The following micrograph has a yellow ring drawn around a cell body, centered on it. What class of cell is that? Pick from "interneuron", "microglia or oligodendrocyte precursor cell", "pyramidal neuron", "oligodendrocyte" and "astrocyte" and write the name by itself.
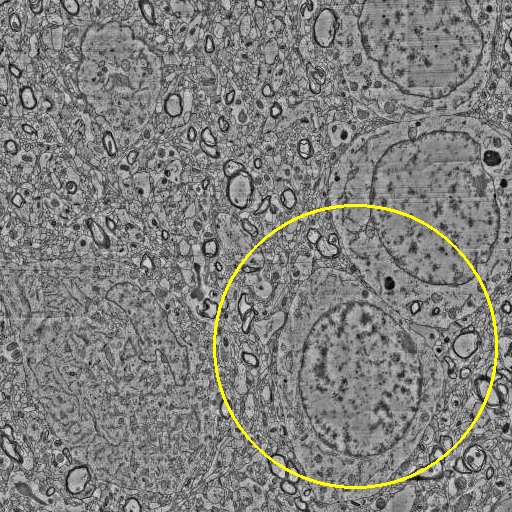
interneuron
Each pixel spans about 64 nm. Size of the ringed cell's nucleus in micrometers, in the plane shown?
Roughly 10 micrometres by 8 micrometres, in this plane.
